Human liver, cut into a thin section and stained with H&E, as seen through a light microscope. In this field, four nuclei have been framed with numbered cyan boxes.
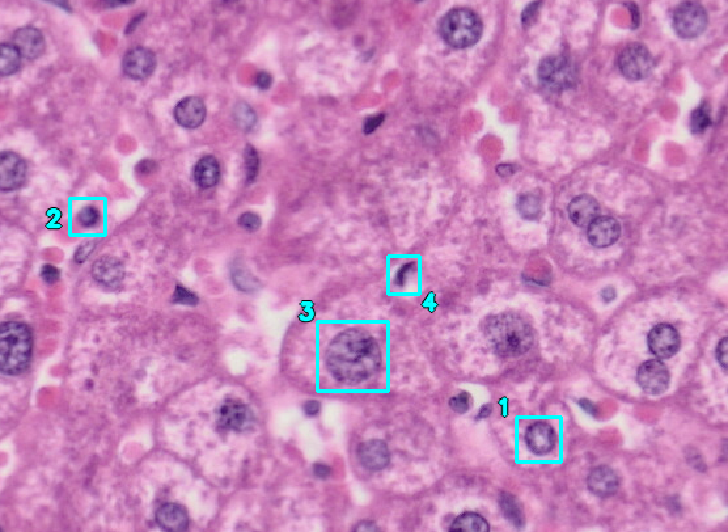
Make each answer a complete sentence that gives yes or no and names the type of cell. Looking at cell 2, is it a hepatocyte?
No, the cell at marker 2 is not a hepatocyte; it is a lymphocyte.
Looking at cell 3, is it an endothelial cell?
No, cell 3 is a hepatocyte; it is not an endothelial cell.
